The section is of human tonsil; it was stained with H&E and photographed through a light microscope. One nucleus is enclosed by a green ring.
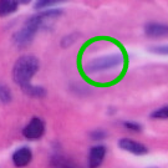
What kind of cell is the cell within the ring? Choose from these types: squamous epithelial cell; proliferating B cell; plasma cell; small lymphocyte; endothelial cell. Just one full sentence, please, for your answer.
In the stained section, the cell within the ring is an endothelial cell.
